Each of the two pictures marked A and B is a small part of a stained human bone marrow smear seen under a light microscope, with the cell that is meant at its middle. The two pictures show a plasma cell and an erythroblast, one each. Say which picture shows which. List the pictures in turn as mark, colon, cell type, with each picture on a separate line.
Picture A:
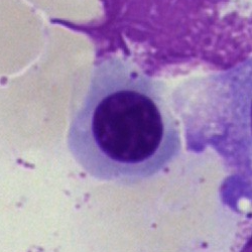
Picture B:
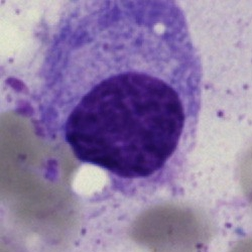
A: erythroblast
B: plasma cell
